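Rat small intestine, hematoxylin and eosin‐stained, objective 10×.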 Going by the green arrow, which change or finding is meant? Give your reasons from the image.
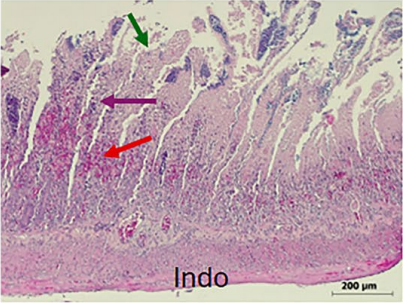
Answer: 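Epithelial damage. The villus tips near the arrow are ragged and broken. Surface lining is lost and fragments lie detached in the lumen.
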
